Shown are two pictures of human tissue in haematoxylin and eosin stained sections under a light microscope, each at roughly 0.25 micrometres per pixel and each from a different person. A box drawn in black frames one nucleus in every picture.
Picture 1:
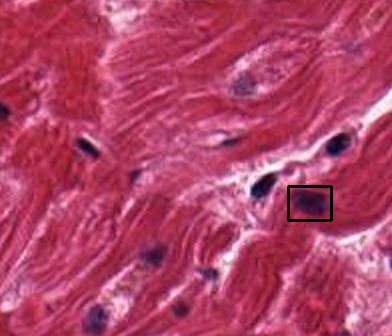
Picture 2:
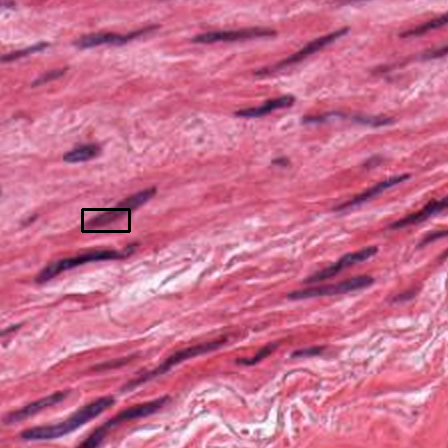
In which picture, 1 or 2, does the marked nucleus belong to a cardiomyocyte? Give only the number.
1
